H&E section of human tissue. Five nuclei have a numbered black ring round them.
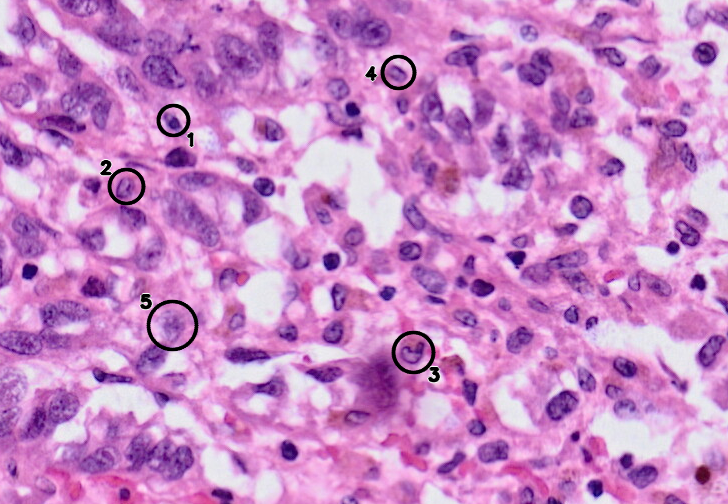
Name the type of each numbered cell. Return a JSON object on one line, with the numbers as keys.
{"1": "lymphocyte", "2": "macrophage or monocyte", "3": "macrophage or monocyte", "4": "macrophage or monocyte", "5": "melanoma cell"}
